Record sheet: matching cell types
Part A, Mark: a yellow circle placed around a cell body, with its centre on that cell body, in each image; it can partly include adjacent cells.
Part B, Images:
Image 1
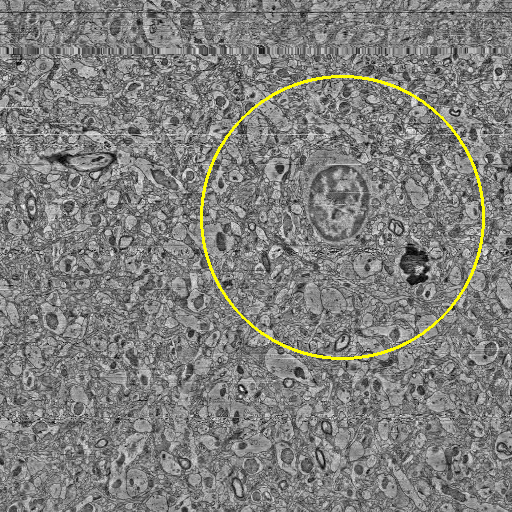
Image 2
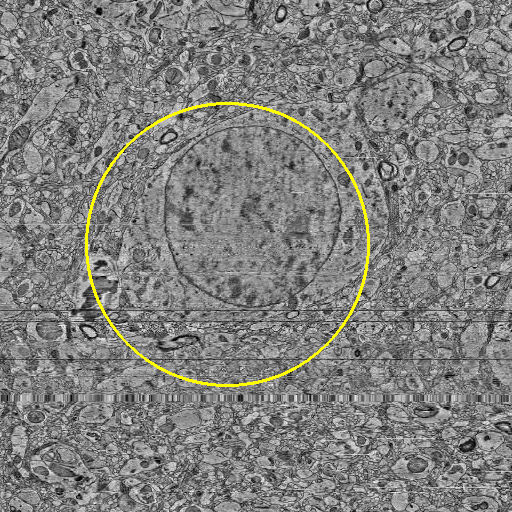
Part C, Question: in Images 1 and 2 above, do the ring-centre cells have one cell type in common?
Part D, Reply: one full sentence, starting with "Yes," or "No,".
No, the ring-centre cells of Image 1 and Image 2 are each of a separate cell type.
